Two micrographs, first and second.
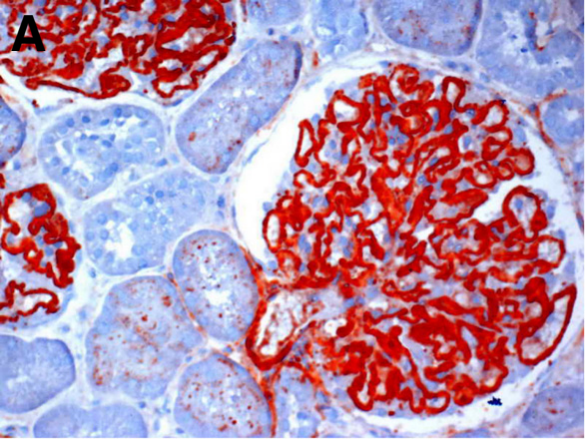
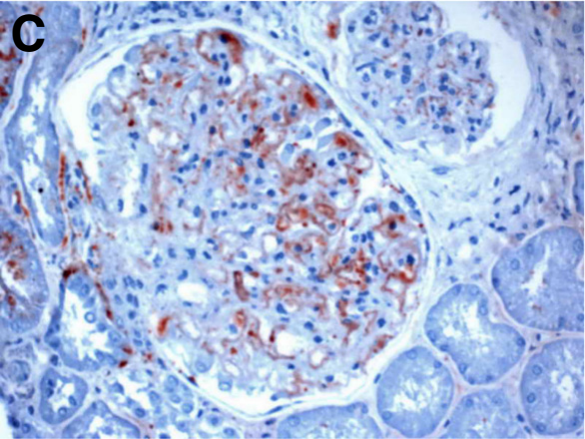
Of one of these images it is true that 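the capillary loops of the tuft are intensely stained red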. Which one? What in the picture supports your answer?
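The first image. Second image: the tuft shows only faint, patchy reddish-brown stain along the loops, with blue nuclei dominating. First image: the loops are outlined by thick, bright red stain throughout the tuft.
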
